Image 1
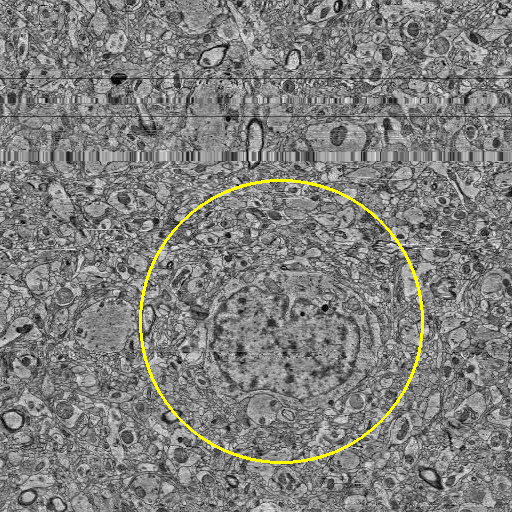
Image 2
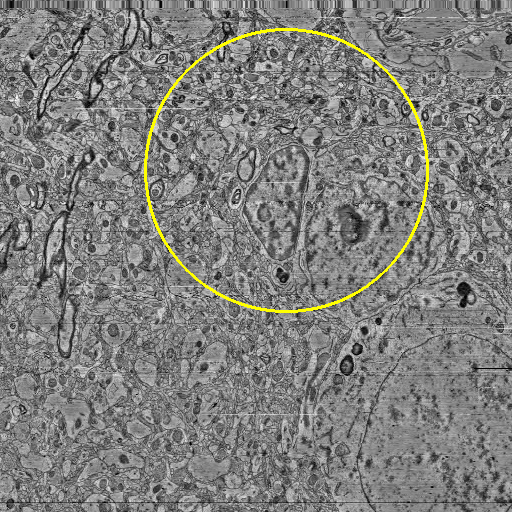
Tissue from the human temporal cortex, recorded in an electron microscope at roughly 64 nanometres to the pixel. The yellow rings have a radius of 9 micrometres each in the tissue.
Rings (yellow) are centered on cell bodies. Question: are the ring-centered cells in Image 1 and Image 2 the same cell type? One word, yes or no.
no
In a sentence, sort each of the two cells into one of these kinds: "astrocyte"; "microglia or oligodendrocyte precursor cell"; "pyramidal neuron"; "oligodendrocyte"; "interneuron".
The first of the two cells is an interneuron, and the second is a microglial cell or oligodendrocyte precursor cell.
